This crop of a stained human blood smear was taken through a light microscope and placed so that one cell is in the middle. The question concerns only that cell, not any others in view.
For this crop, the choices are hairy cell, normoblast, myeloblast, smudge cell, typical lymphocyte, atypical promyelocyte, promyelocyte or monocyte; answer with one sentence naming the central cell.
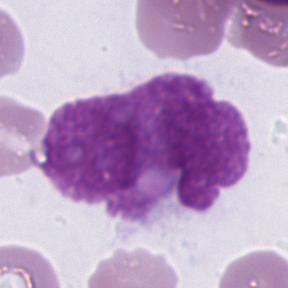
Among the cells in view, the one in the middle is a smudge cell.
